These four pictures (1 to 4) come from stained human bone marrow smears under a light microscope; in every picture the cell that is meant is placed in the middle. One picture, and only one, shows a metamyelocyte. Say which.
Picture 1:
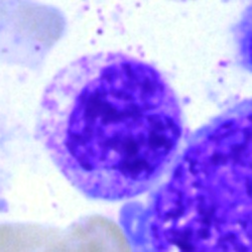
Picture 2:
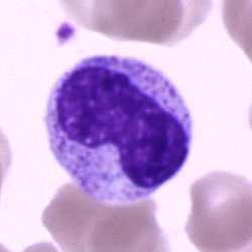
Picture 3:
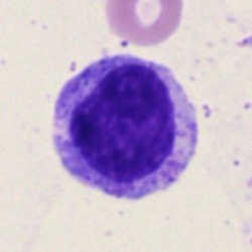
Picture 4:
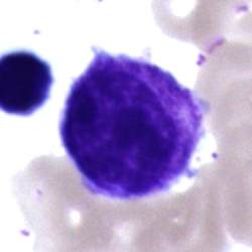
2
